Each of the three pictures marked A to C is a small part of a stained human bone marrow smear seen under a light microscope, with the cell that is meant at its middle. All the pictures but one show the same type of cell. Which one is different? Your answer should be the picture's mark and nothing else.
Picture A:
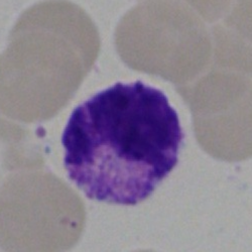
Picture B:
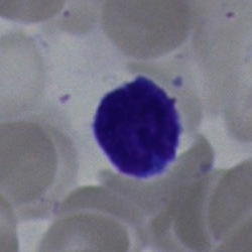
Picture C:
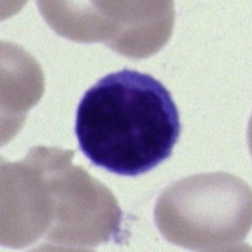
A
